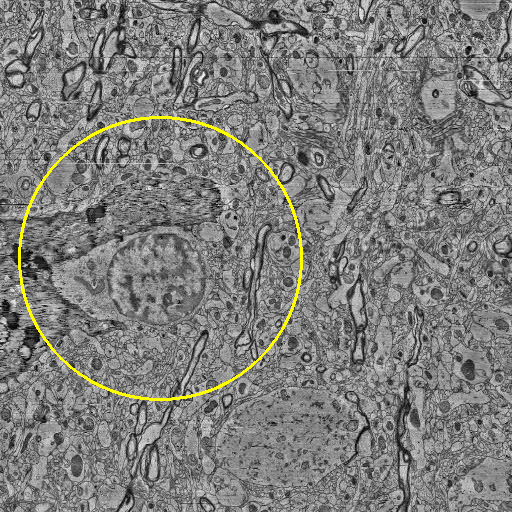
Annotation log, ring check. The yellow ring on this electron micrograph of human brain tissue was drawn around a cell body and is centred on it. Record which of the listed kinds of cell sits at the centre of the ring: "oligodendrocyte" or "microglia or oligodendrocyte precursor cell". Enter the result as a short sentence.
The cell at the centre of the ring is an oligodendrocyte.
